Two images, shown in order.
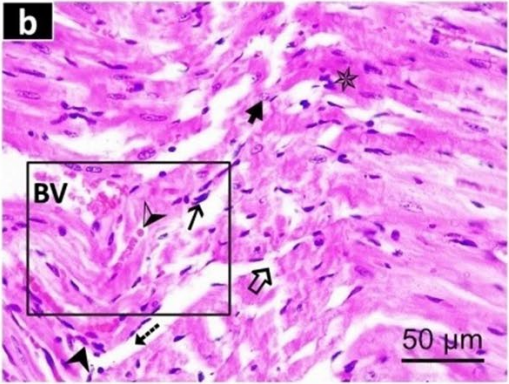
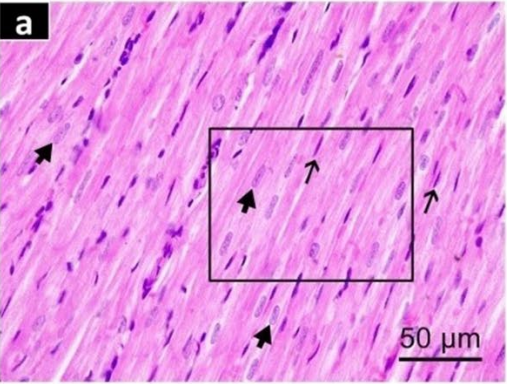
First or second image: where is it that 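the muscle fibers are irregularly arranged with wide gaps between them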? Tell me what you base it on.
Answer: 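First image: fibers run in disordered directions, some broken up, with white gaps between them.
Conclusion: the first image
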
